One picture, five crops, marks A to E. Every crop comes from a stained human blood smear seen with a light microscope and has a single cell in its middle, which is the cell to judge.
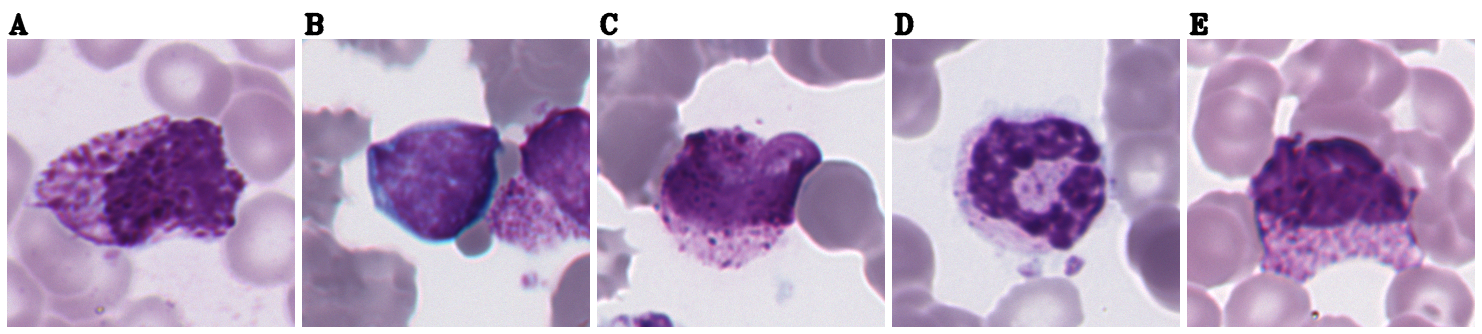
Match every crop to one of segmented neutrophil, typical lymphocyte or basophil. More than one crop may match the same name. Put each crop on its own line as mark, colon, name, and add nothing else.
A: basophil
B: typical lymphocyte
C: basophil
D: segmented neutrophil
E: basophil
